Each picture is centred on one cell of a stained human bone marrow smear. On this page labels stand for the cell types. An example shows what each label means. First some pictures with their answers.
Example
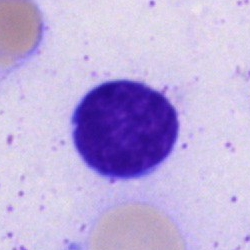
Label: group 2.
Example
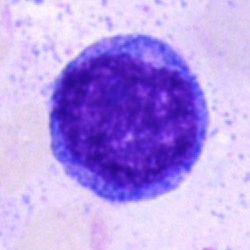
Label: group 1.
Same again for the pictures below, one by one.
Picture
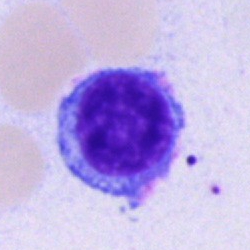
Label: group 2.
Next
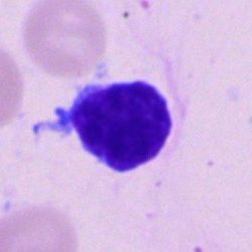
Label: group 2.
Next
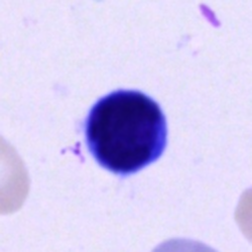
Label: group 2.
